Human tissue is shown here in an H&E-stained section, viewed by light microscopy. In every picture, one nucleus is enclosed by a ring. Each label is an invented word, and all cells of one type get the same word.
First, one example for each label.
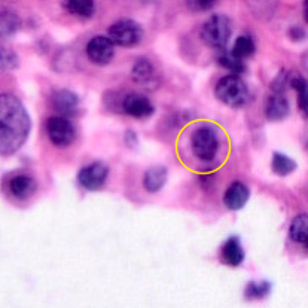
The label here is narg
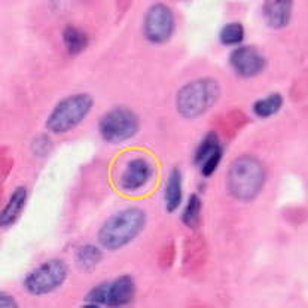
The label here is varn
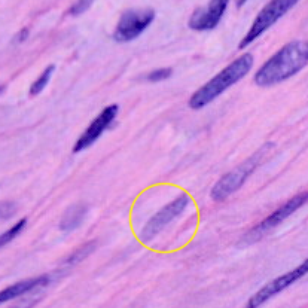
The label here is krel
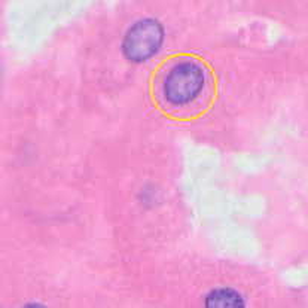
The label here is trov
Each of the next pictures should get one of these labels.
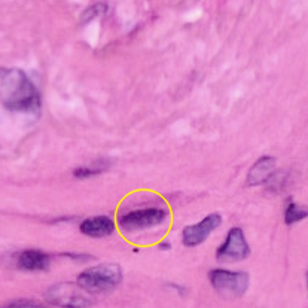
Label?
narg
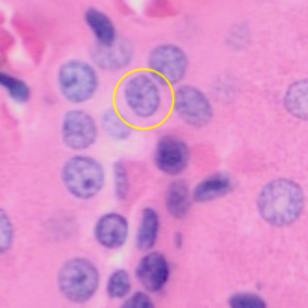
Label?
varn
